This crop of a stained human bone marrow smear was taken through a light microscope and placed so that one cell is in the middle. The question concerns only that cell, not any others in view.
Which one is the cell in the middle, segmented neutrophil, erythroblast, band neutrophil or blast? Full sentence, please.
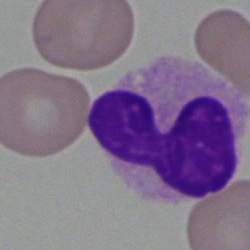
The crop centres on a single cell, and that cell is a band neutrophil.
